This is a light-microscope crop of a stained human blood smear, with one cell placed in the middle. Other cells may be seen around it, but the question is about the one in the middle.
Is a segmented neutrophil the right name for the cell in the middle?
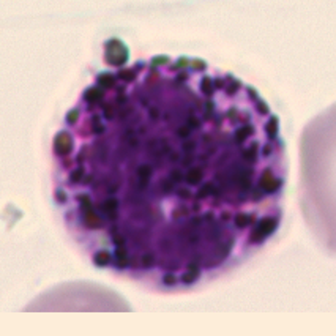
no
